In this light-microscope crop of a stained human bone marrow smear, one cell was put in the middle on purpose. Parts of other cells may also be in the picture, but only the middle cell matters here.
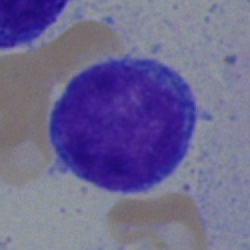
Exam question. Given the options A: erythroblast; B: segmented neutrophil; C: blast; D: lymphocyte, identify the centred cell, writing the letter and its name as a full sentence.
At the centre of the crop lies a blast, which makes option C correct.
